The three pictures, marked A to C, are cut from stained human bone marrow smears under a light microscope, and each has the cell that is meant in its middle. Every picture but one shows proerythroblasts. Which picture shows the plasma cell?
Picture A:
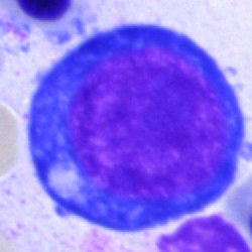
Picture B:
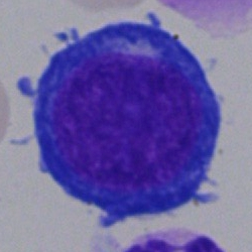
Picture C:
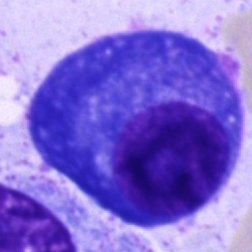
C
